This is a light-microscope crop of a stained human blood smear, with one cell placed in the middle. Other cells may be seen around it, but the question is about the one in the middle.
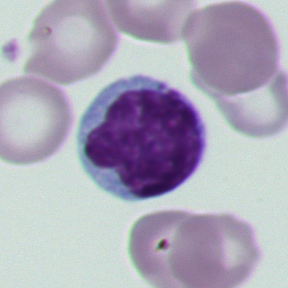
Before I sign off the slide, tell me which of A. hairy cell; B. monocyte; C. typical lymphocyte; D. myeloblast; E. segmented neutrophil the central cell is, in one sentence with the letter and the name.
The cell in the middle is a typical lymphocyte, and so option C is correct.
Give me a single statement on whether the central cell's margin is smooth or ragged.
If you check the edge, you will find it smooth without projections.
